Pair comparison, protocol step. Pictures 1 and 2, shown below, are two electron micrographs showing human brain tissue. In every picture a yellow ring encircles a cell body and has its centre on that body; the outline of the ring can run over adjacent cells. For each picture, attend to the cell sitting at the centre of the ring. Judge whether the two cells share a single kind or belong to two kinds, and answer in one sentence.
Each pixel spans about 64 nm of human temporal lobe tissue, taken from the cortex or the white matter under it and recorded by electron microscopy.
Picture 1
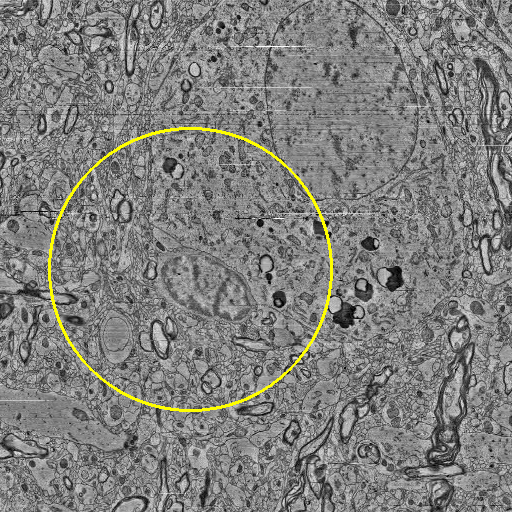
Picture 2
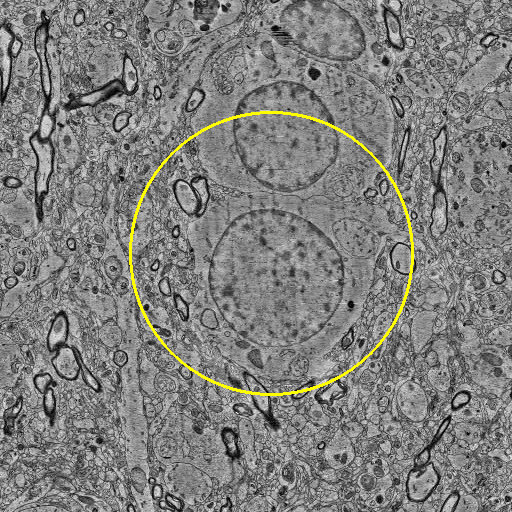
The two cells at the ring centres in Picture 1 and Picture 2 belong to two kinds.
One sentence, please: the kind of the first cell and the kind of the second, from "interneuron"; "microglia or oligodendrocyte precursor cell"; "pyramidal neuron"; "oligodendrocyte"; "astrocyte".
The ring in the first picture surrounds an oligodendrocyte, and the ring in the second surrounds an astrocyte.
